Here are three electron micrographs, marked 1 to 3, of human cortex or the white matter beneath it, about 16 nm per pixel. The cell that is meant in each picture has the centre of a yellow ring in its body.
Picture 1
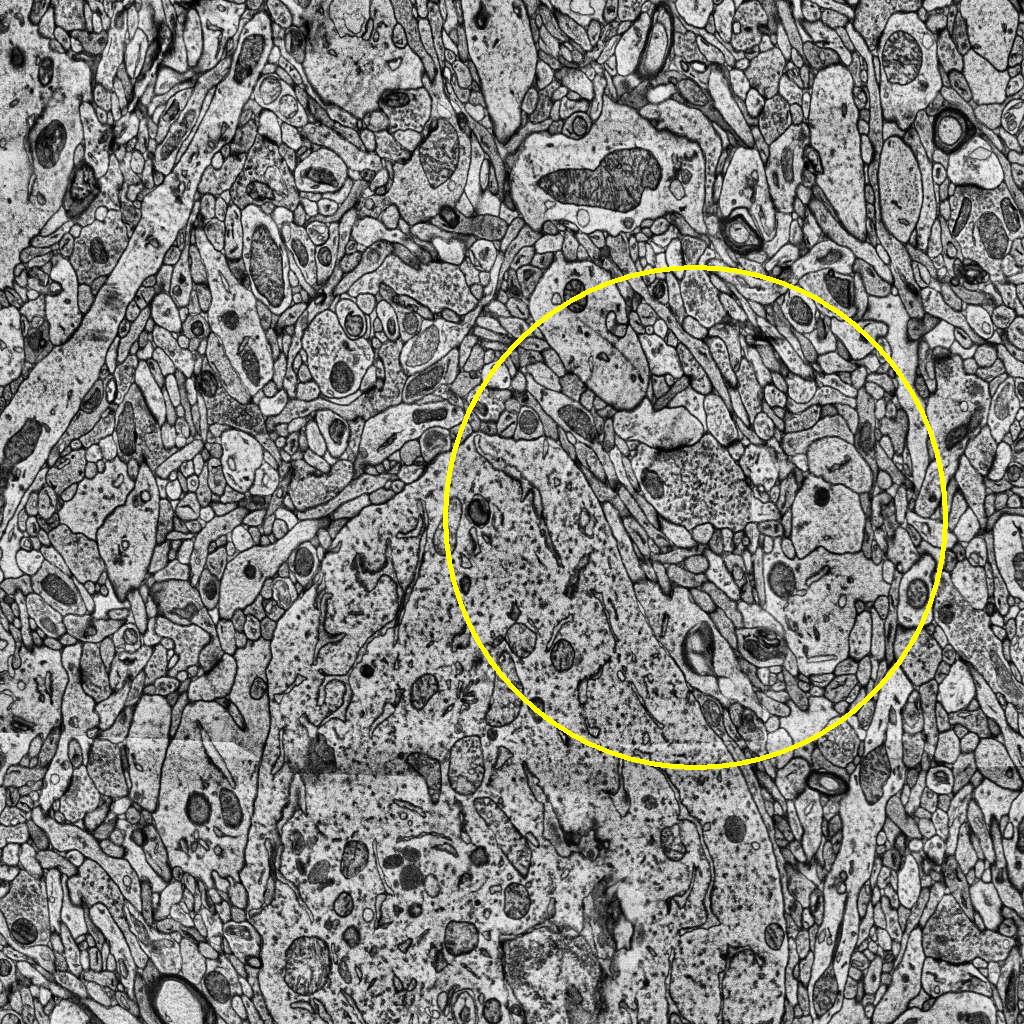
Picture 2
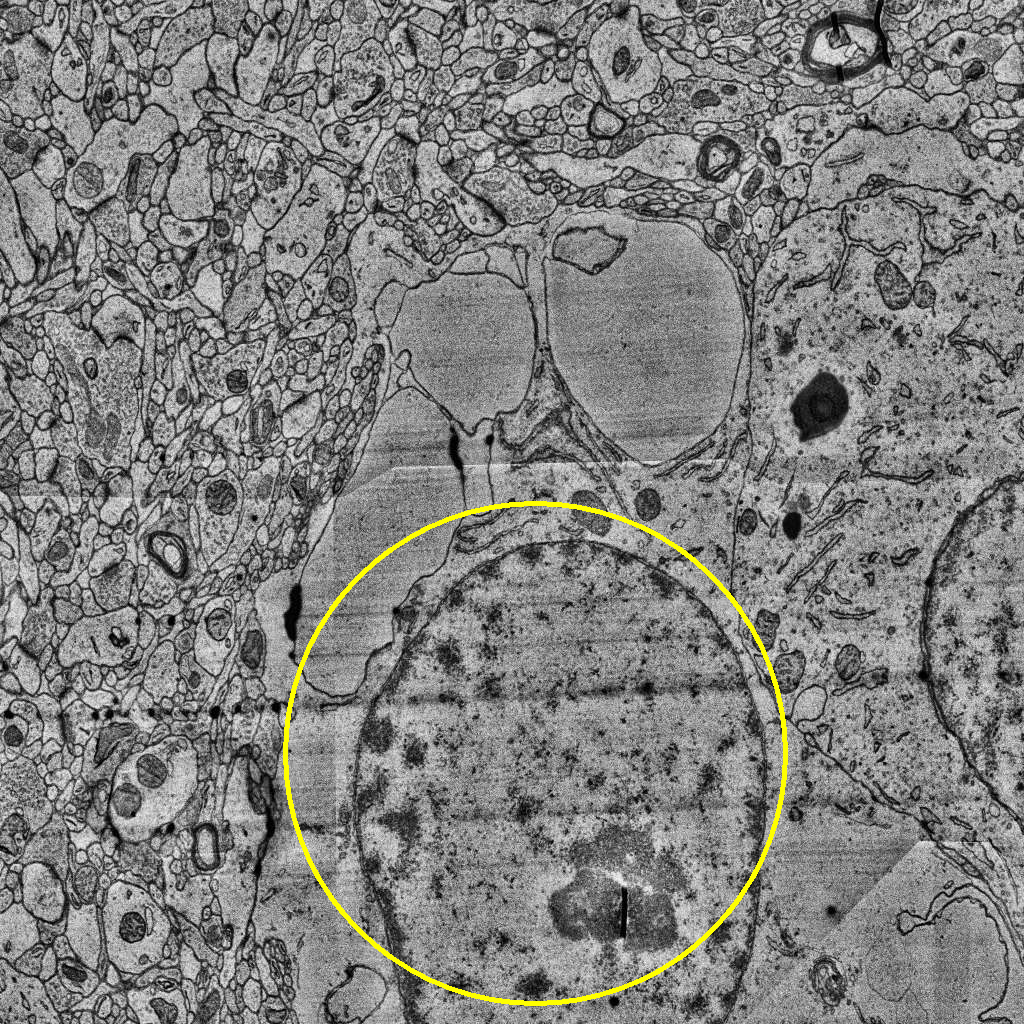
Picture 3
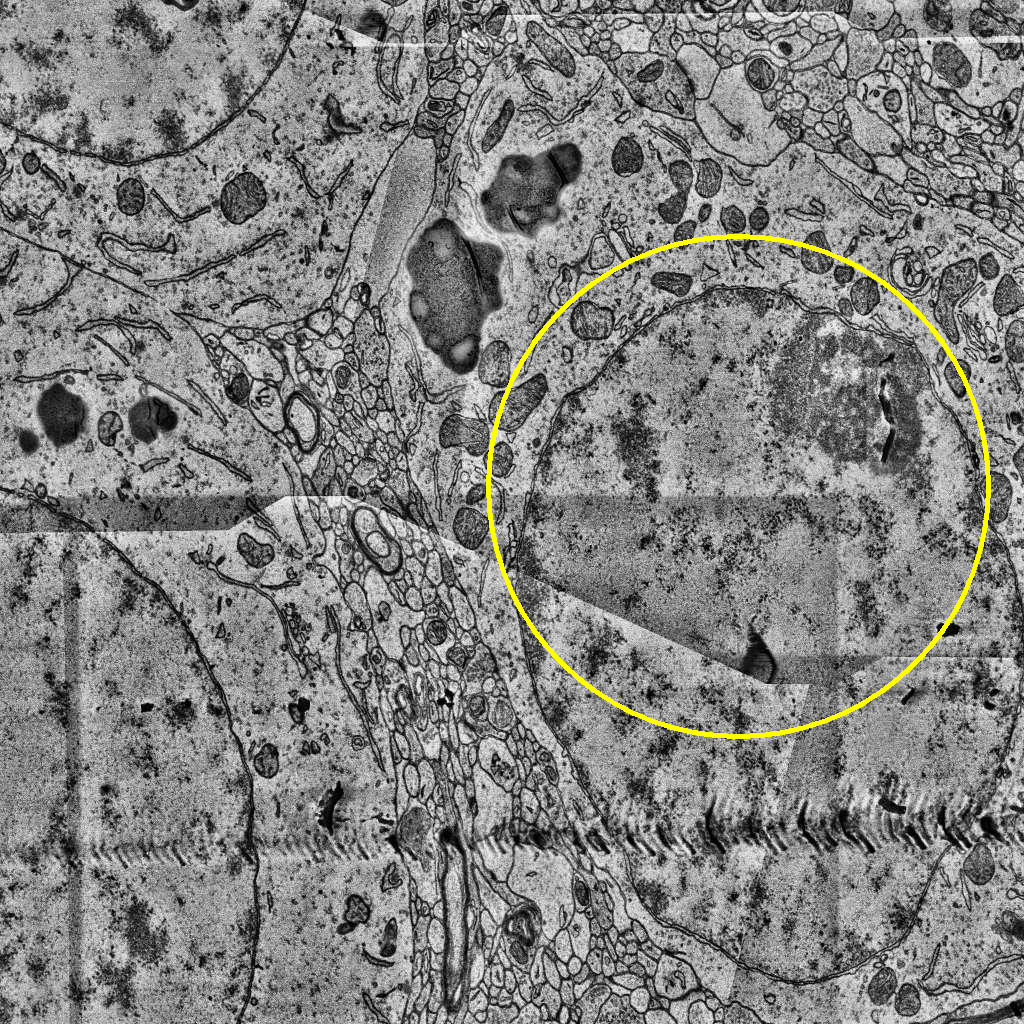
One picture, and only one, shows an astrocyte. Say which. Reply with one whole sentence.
The astrocyte is the one in picture 2.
